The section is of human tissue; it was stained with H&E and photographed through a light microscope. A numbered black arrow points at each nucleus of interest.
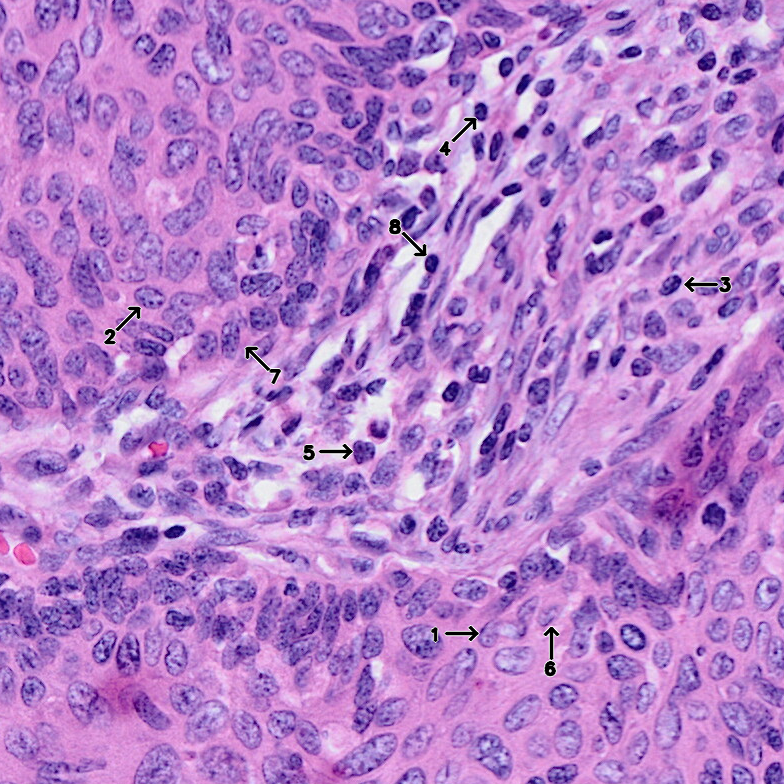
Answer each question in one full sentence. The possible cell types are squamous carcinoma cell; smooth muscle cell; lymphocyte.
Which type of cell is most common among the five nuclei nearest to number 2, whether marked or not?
Around number 2, most of the five nearest nuclei are those of squamous carcinoma cells.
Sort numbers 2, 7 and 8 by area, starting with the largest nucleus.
Largest first, the order by area is 7, 2, 8.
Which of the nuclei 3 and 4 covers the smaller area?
Number 4 is smaller, since number 3 takes up about 1.5 times as much area.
